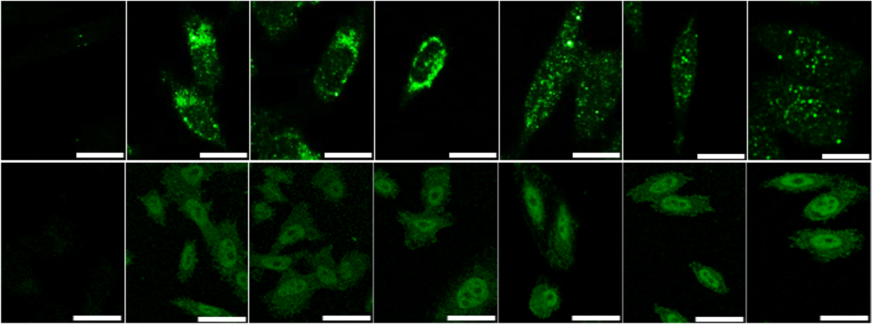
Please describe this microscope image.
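In the upper row the green label is mostly granular, a scatter of bright dots through the cytoplasm. In some cells the dots crowd into a bright rim that traces around a dark, unlabelled oval nucleus. In the lower row the cells are spindle-shaped to polygonal with a diffuse, even green over the cytoplasm, and the oval nucleus stands out as a brighter, well-defined region in the middle of each cell.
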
